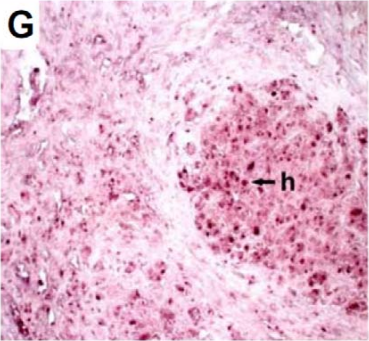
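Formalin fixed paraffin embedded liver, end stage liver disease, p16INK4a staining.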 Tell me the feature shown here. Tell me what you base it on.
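A rounded, sharply bounded mass of densely packed parenchymal cells at right. The mass is surrounded by paler fibrous tissue. Many nuclei within the mass are darkly stained.
Conclusion: regenerative nodule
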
